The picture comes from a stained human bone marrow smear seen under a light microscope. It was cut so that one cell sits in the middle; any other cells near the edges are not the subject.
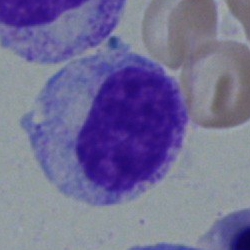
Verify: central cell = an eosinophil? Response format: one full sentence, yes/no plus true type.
No, not an eosinophil here; the centered cell is a myelocyte.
